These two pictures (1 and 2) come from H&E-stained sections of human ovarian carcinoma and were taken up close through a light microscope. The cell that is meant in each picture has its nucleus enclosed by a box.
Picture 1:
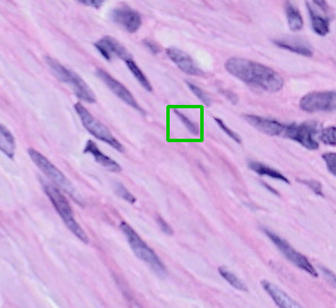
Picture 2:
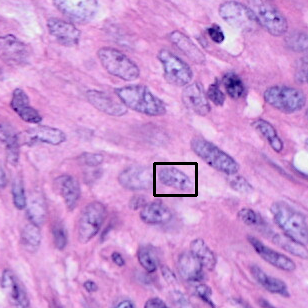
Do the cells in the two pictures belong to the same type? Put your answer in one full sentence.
No, they differ: the cell is a smooth muscle cell in picture 1 and a fibroblast in picture 2.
